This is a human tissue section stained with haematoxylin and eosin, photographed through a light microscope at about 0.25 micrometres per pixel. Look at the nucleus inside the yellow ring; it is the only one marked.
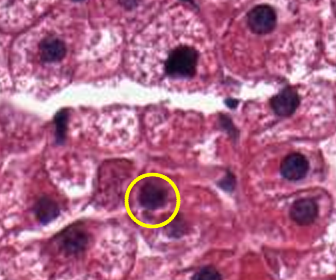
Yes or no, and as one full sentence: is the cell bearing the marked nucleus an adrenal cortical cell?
Yes, the marked nucleus is held by an adrenal cortical cell.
